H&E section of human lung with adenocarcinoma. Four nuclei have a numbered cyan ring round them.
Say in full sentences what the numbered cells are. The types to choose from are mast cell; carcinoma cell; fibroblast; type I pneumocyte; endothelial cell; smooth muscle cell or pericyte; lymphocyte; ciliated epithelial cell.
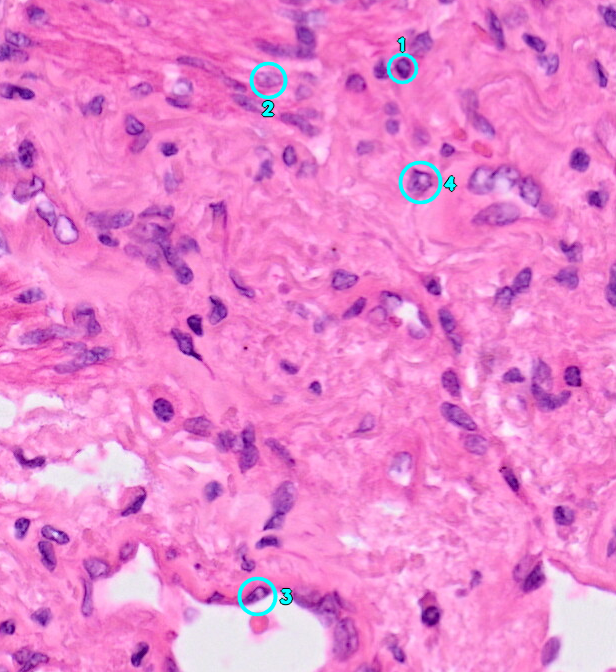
Cell 1 is a mast cell. Cell 2 is a smooth muscle cell or pericyte. Cell 3 is an endothelial cell. Cell 4 is a fibroblast.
